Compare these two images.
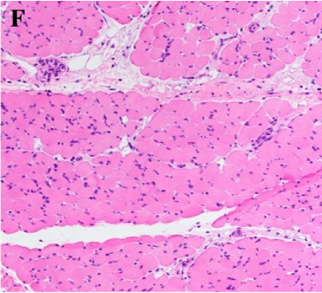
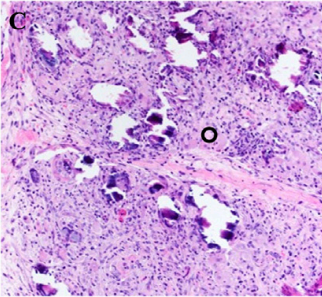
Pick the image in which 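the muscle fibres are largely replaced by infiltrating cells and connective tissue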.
the second image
